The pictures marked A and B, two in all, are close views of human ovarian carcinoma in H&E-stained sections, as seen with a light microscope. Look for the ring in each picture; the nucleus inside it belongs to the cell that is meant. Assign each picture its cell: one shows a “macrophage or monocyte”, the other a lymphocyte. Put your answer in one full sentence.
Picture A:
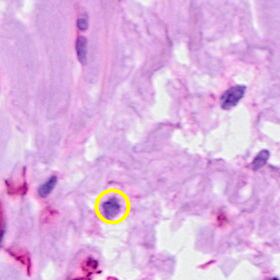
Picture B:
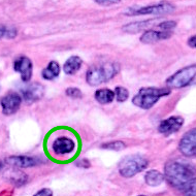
Picture A shows a “macrophage or monocyte” and picture B shows a lymphocyte.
